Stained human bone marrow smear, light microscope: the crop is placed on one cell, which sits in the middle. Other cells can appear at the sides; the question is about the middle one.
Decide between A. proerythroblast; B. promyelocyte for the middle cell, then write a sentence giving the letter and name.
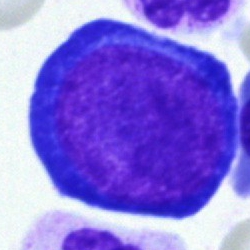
The centered cell is a proerythroblast, which is why option A is right.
